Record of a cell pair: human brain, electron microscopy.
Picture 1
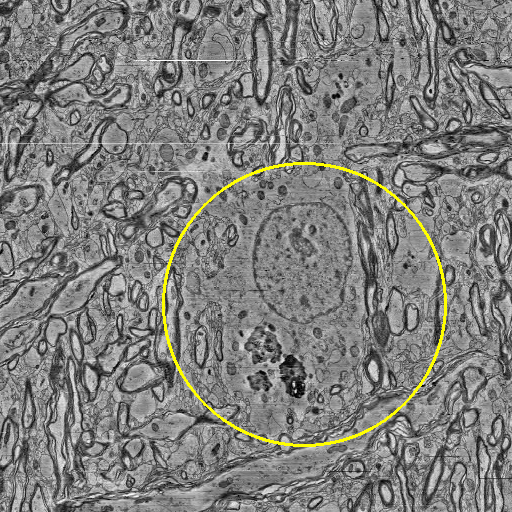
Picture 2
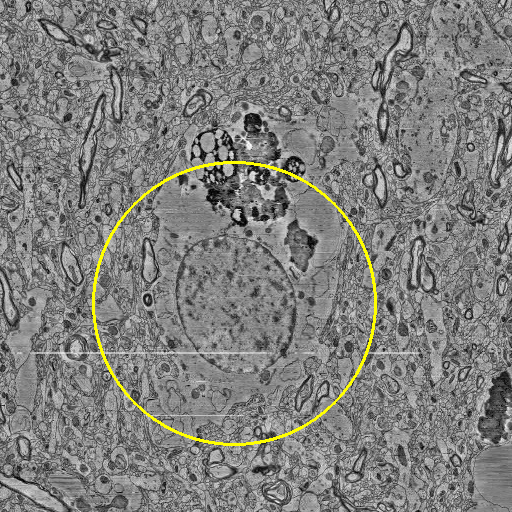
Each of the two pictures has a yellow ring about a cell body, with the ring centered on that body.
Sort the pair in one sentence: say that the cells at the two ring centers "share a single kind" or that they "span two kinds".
The cells centered in the rings of Pictures 1 and 2 share a single kind.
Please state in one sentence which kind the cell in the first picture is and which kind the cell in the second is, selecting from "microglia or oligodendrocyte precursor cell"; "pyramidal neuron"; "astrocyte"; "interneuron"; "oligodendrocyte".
Both pictures show an astrocyte at the centre of the ring.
